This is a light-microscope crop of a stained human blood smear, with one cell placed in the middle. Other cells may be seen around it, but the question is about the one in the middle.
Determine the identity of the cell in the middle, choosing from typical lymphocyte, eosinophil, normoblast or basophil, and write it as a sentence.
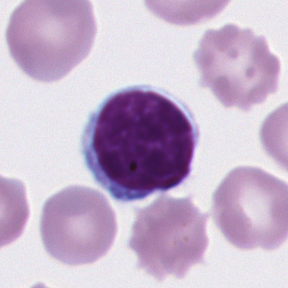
The cell centred in this crop is categorized as a typical lymphocyte.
